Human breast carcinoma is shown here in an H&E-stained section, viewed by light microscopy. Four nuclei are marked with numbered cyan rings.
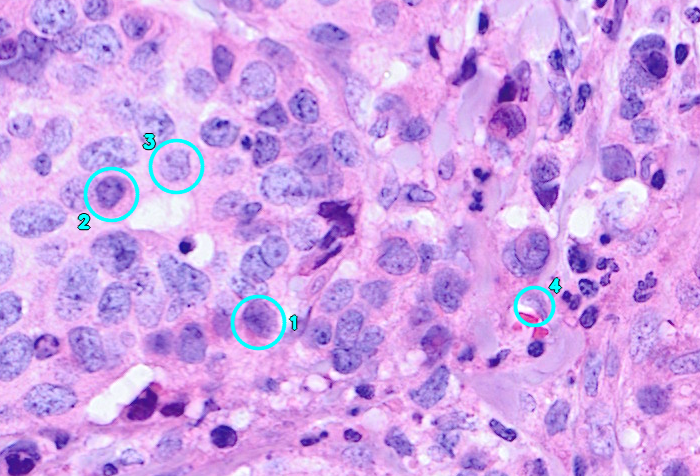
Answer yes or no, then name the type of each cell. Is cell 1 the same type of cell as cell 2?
Yes, cells 1 and 2 are carcinoma cells, both of them.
